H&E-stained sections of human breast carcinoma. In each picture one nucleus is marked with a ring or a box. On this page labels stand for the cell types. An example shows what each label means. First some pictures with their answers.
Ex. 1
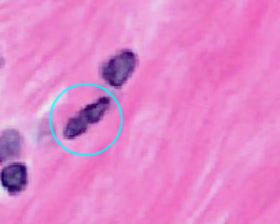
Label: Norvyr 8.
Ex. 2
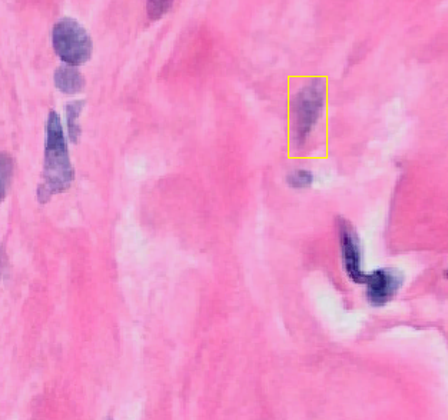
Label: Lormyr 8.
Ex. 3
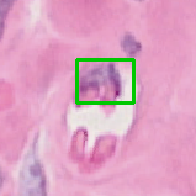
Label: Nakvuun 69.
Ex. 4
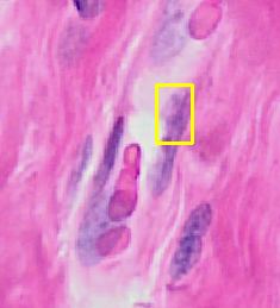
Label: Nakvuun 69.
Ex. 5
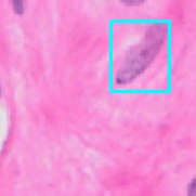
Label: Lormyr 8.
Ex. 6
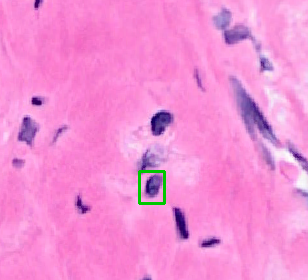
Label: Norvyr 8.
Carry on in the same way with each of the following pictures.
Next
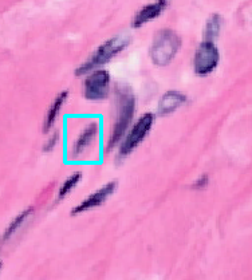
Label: Nakvuun 69.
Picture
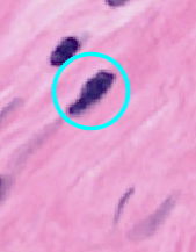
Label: Norvyr 8.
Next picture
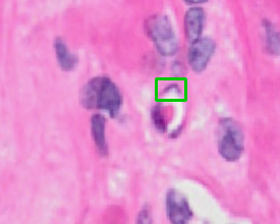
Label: Nakvuun 69.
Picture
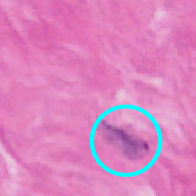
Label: Lormyr 8.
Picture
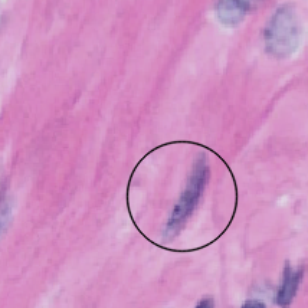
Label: Lormyr 8.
